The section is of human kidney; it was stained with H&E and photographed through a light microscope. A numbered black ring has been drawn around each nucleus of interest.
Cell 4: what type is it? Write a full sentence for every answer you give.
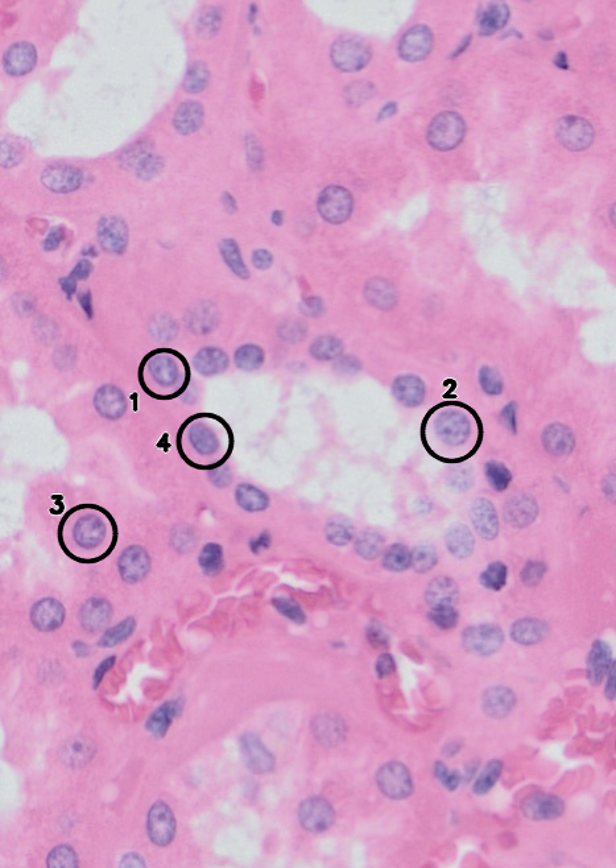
Classified as a loop of Henle or distal tubule cell is the cell with the number 4.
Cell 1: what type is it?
Cell 1 in the field is a loop of Henle or distal tubule cell.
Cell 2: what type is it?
Denoted by the label 2 in the section is a loop of Henle or distal tubule cell.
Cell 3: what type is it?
Belonging to a proximal tubule cell is the nucleus that carries the number 3.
